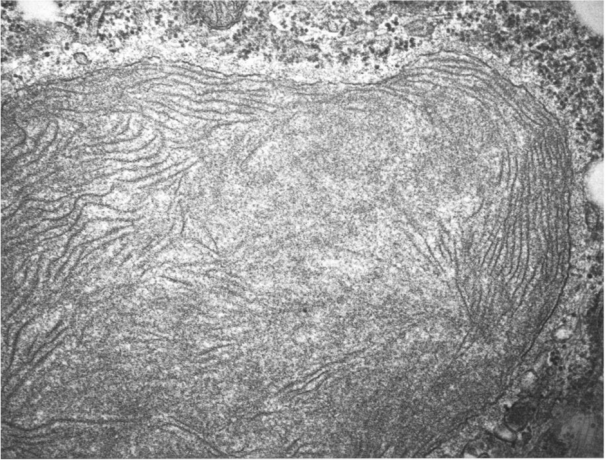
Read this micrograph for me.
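A high-magnification view of a deposit made up of countless thin, elongated fibrils that do not branch. Along the edges the fibrils run in roughly parallel wavy bundles, while in the centre they appear more randomly arranged. Finely granular cytoplasm dotted with small dense particles borders the deposit at the top.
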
